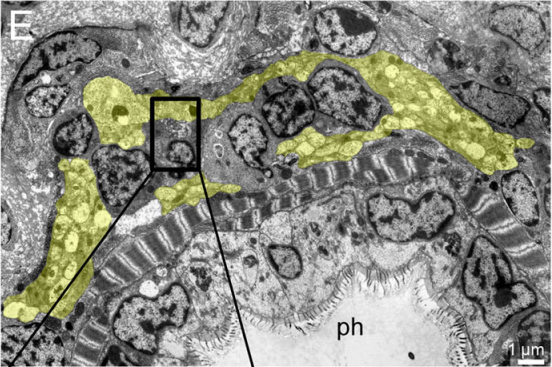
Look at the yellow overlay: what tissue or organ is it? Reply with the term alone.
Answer: neuropil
